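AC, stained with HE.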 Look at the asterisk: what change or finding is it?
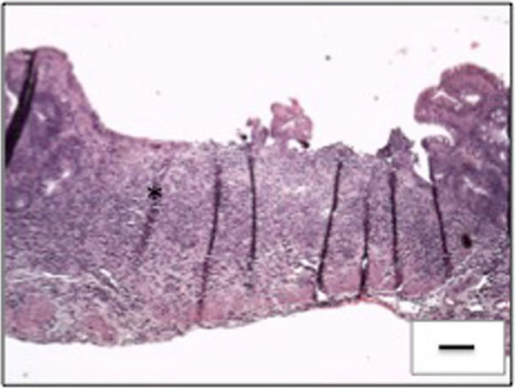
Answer: Inflammatory infiltrate.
